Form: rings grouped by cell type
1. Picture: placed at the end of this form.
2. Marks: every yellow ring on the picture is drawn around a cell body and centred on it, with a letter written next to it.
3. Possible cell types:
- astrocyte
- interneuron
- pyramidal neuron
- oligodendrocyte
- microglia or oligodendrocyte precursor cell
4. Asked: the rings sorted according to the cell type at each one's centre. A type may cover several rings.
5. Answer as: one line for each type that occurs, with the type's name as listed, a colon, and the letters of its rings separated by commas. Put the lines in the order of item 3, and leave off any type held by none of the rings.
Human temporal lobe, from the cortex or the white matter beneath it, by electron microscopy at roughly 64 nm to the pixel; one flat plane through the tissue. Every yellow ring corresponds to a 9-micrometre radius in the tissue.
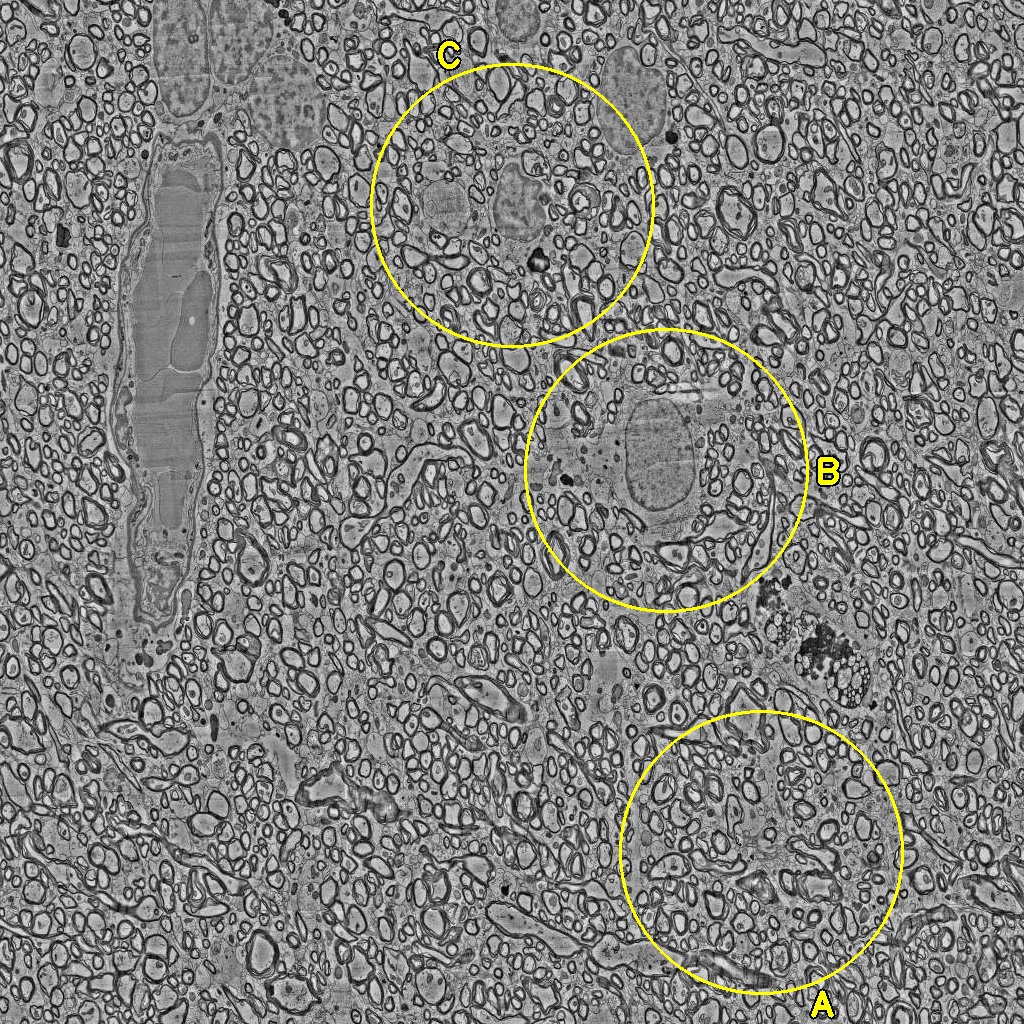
astrocyte: B
oligodendrocyte: C
microglia or oligodendrocyte precursor cell: A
